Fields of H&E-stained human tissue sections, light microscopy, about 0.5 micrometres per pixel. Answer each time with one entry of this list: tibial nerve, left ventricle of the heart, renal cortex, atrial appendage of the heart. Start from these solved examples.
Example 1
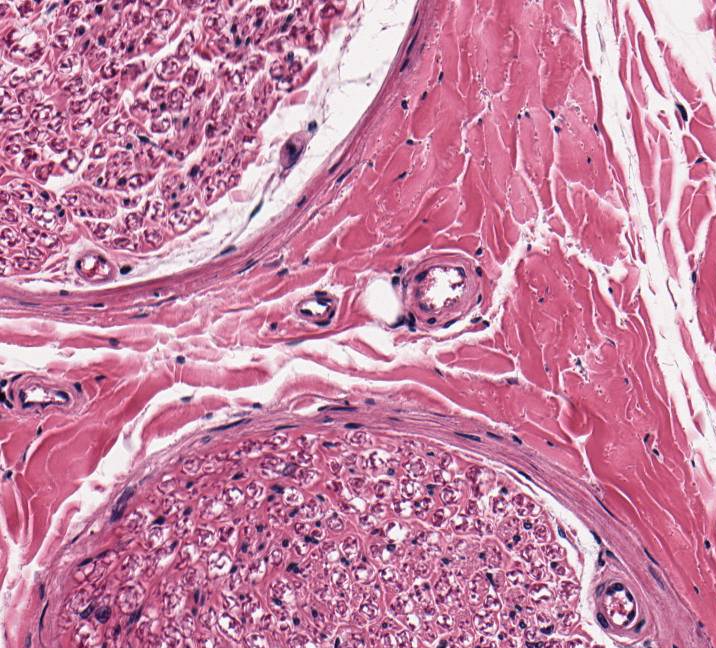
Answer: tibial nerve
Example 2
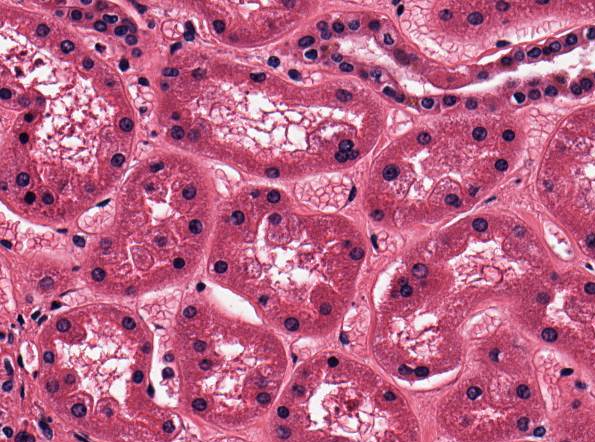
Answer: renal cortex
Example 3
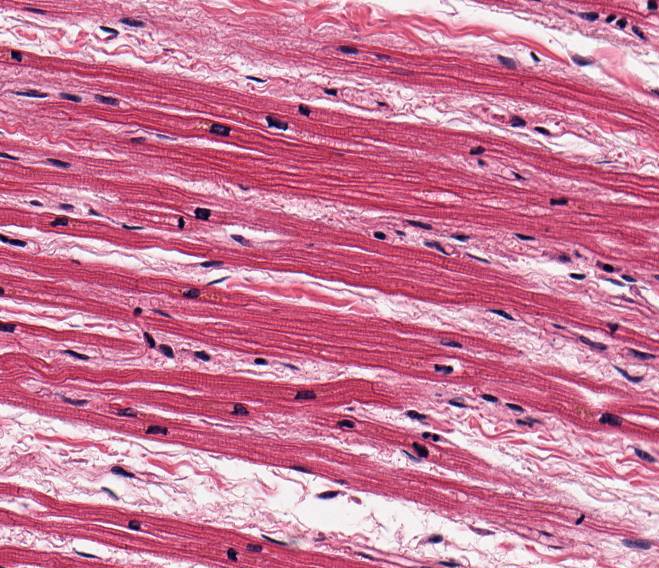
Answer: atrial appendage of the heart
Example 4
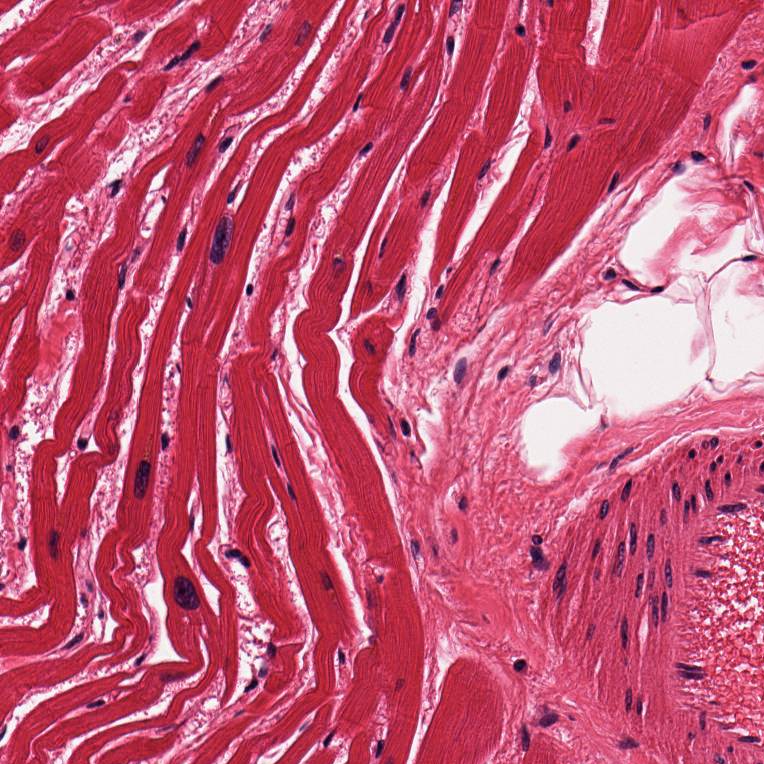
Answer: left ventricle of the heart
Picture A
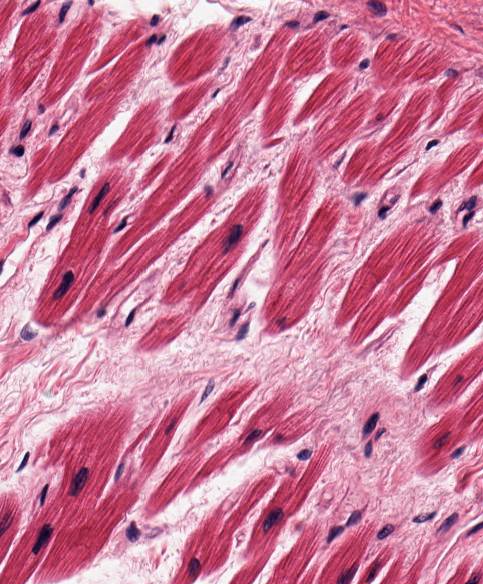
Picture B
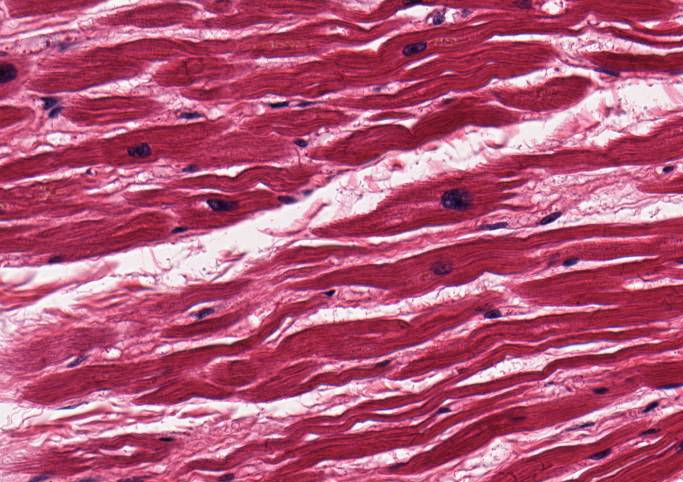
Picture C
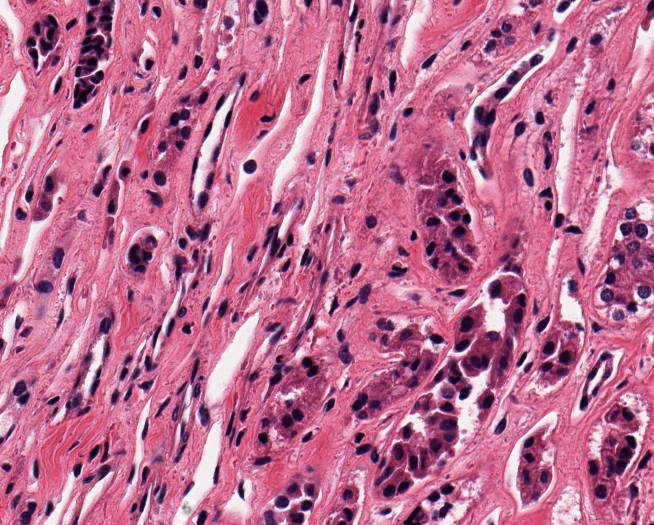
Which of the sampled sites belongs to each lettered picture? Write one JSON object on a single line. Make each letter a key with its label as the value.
{"A": "atrial appendage of the heart", "B": "atrial appendage of the heart", "C": "renal cortex"}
